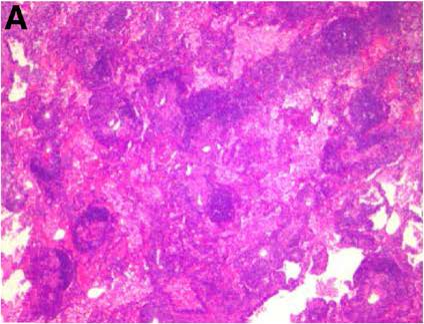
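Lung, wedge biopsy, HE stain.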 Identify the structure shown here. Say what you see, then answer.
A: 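Several round, dark purple nodules are scattered across the field. The nodules stand out against paler pink, consolidated lung tissue.
Conclusion: lymphatic follicles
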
